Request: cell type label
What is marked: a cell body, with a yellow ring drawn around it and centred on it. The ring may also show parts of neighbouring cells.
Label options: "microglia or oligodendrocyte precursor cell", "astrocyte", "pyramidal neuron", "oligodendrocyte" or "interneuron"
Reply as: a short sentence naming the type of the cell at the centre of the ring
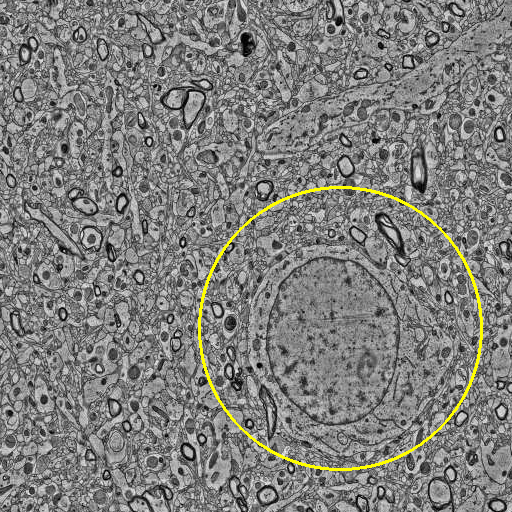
The marked cell body is that of a pyramidal neuron.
